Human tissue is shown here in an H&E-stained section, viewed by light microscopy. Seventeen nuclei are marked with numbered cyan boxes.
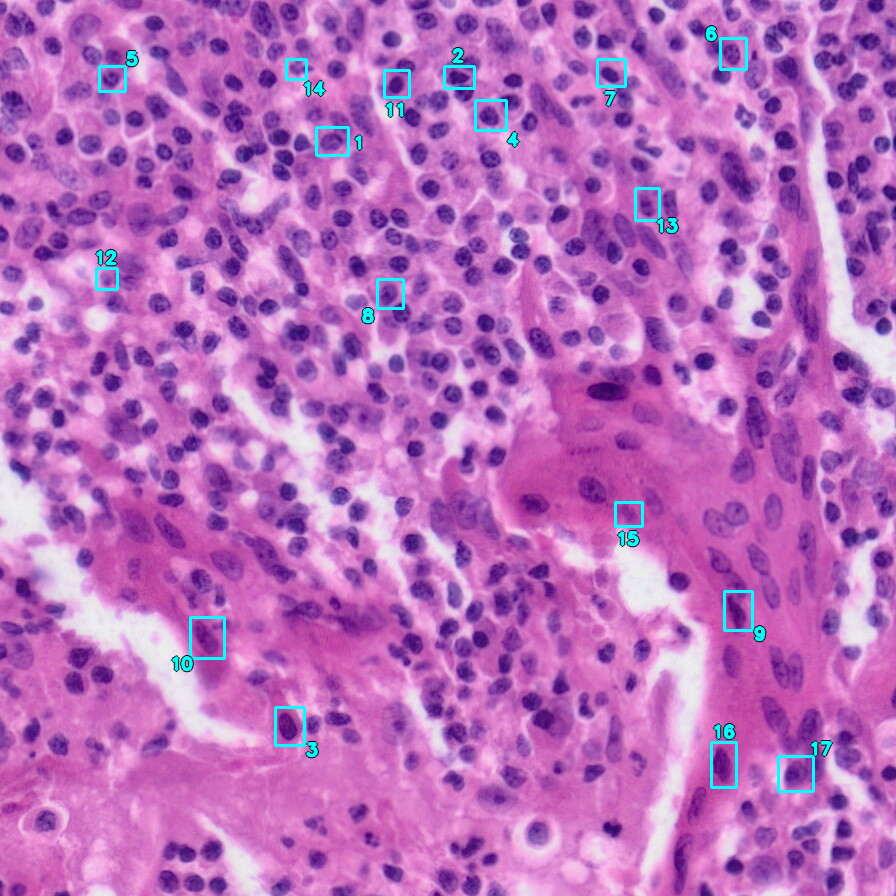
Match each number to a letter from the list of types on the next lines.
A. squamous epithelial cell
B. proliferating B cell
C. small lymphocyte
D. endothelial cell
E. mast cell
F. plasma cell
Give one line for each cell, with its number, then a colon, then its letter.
1: F
2: F
3: A
4: F
5: F
6: F
7: F
8: F
9: A
10: A
11: F
12: A
13: A
14: F
15: A
16: A
17: A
